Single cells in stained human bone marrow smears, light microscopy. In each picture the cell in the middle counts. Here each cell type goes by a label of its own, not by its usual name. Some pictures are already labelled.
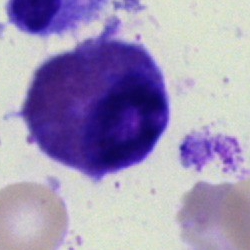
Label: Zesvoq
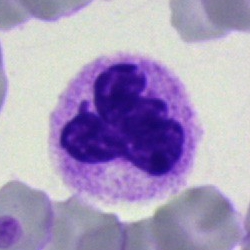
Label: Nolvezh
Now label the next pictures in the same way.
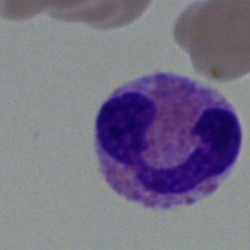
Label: Zesvoq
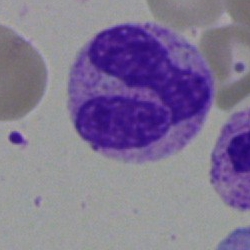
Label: Nolvezh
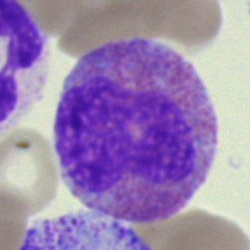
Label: Zesvoq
